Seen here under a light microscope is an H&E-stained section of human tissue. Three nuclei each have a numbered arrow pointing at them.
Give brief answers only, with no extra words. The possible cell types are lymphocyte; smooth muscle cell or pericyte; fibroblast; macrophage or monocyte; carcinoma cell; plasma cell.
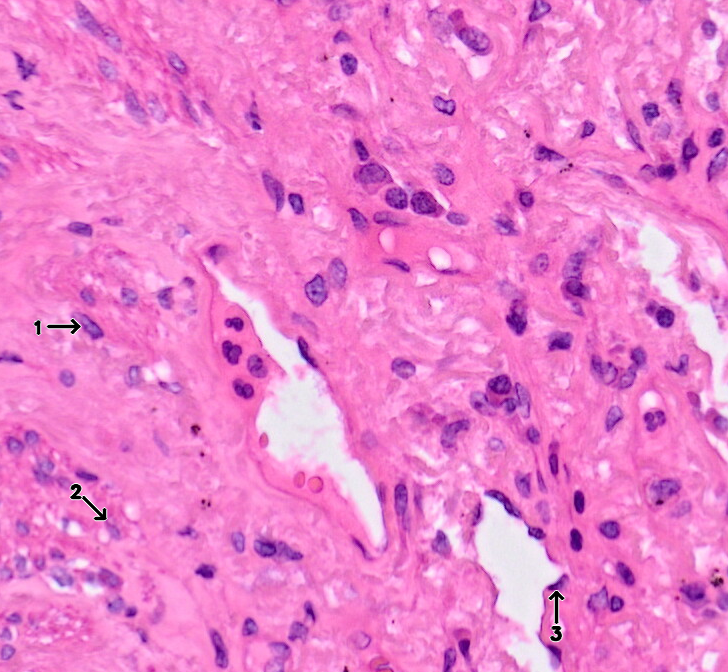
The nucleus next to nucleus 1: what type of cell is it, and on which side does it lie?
a smooth muscle cell or pericyte above nucleus 1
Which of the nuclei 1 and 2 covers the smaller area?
2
